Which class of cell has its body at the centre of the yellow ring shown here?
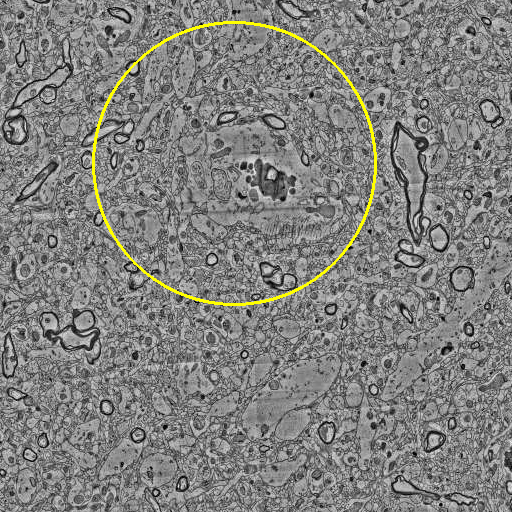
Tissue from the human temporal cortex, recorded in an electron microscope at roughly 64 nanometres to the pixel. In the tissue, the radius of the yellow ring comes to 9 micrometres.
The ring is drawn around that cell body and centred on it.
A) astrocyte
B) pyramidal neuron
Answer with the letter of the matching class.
A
